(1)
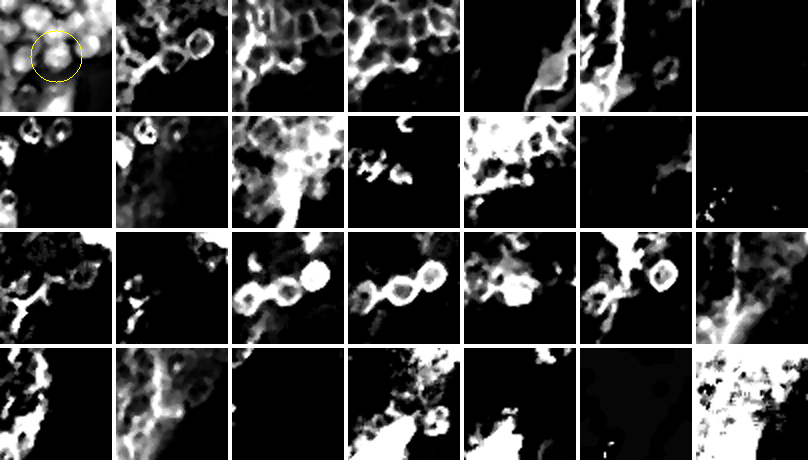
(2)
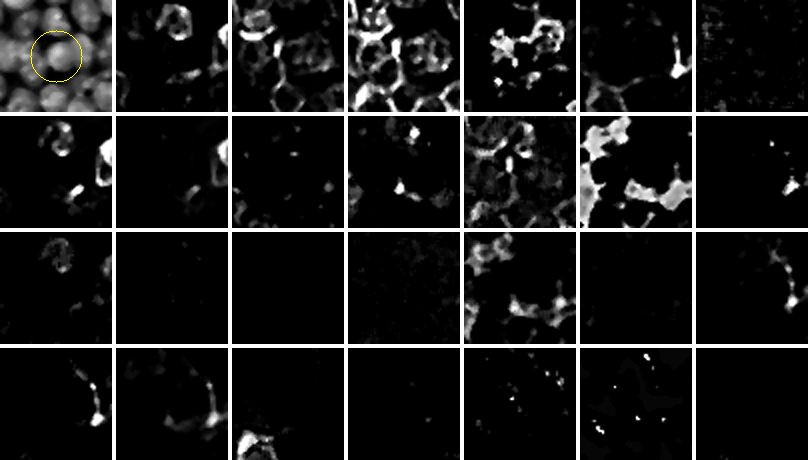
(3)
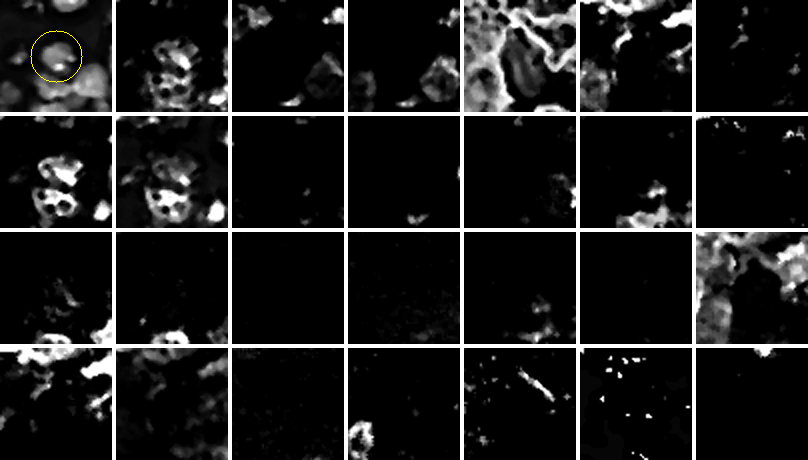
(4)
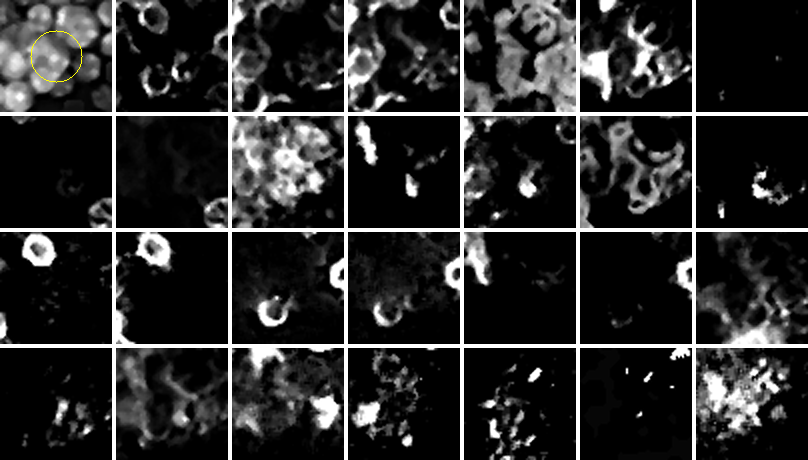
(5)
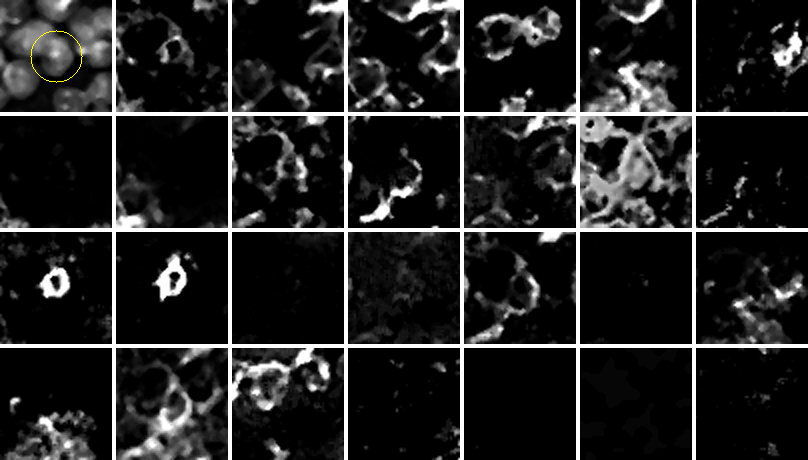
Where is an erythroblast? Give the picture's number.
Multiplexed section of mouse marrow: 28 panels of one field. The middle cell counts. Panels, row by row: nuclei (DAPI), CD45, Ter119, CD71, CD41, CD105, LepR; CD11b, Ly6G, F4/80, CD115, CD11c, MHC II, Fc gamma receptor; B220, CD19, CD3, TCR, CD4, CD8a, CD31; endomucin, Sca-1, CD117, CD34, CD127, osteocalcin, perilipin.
2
